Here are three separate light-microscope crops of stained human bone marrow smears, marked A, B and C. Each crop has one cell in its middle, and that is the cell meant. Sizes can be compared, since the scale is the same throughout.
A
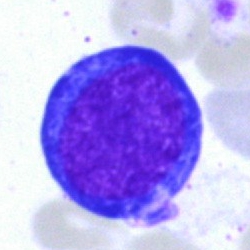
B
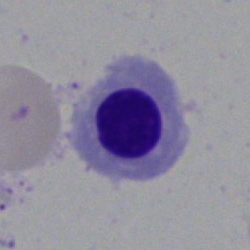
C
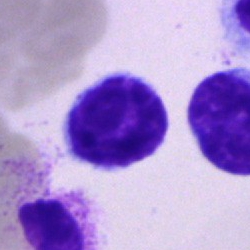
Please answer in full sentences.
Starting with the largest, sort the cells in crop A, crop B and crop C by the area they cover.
From the largest down, the order is A, B, C.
